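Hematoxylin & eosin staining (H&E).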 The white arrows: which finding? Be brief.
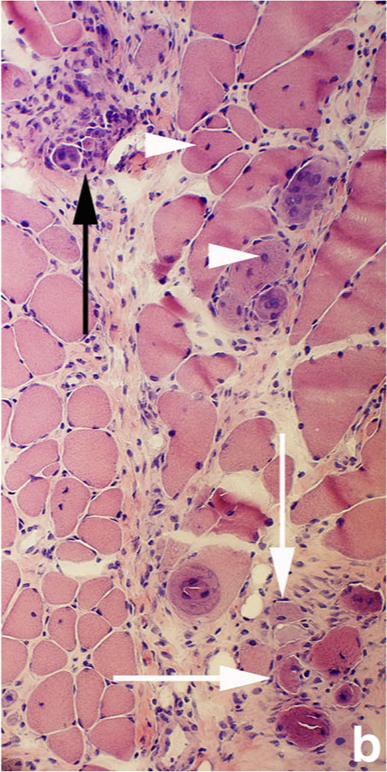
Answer: muscle fibers that are small and that to varying extents show a basophilic appearance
